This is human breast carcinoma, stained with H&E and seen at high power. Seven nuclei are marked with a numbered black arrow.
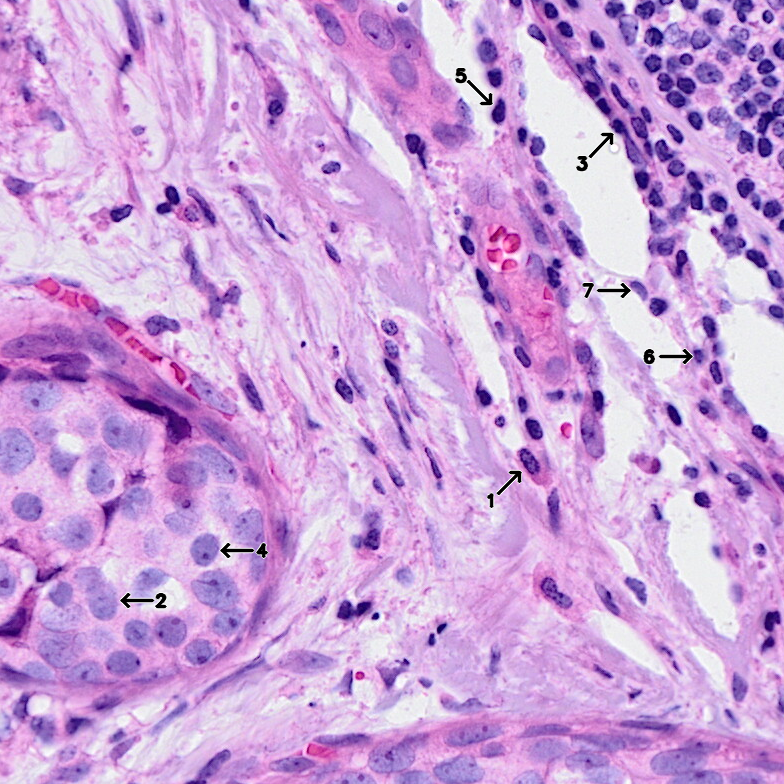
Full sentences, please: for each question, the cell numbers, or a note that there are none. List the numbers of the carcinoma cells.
To be specific, the cells numbered 2 and 4 are carcinoma cells.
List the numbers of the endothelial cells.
Nowhere among the numbered cells do endothelial cells occur.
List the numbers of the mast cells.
Only nucleus 1 belongs to a mast cell; the other numbered nuclei do not.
